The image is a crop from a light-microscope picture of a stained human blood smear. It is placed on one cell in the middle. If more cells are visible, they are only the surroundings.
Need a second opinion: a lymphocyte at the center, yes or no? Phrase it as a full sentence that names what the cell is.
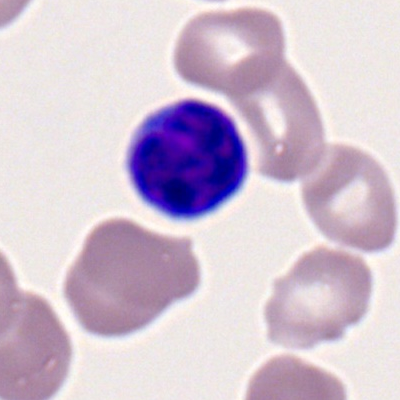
Yes, the cell shown in the middle is a lymphocyte.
